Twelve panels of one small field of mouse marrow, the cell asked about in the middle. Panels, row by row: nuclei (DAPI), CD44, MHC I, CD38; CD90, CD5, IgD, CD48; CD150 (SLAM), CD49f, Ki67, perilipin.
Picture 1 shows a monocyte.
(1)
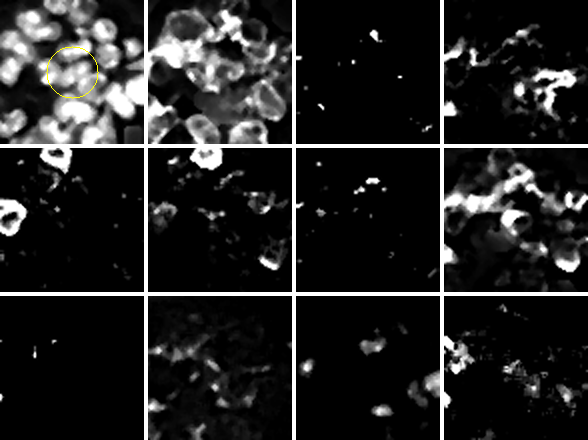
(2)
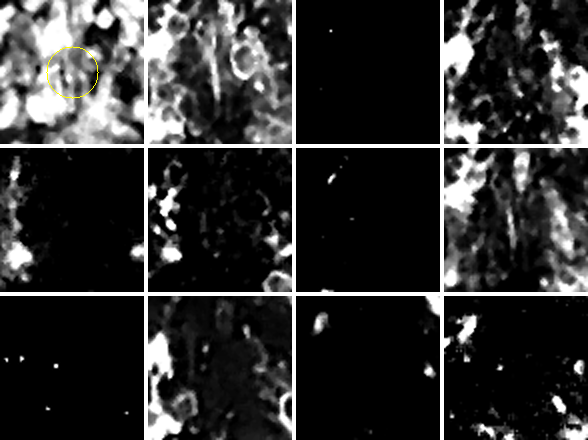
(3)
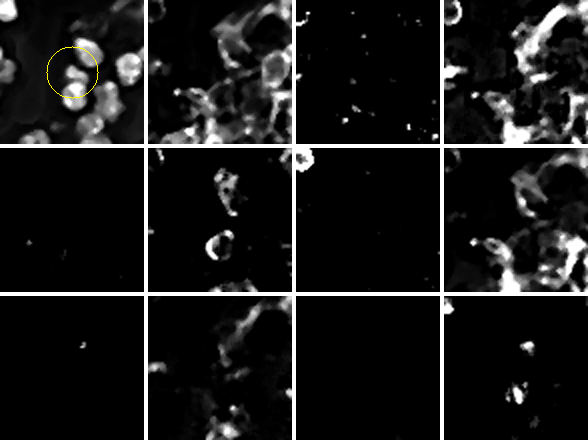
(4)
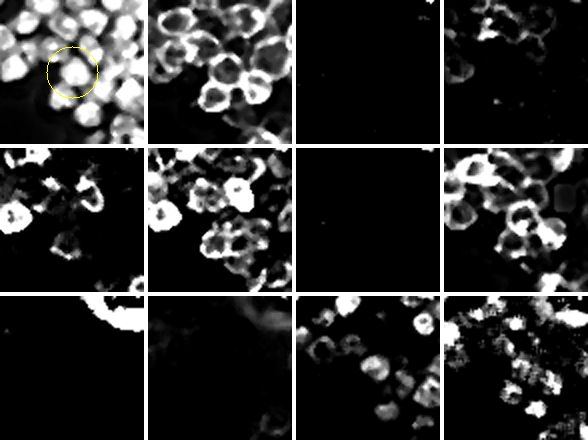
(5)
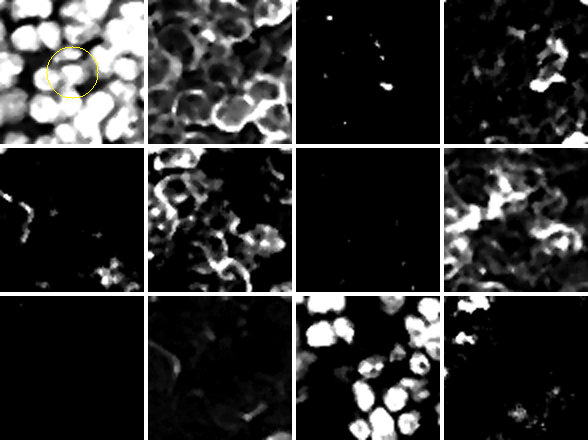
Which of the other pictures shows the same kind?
Picture 4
